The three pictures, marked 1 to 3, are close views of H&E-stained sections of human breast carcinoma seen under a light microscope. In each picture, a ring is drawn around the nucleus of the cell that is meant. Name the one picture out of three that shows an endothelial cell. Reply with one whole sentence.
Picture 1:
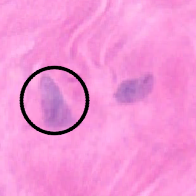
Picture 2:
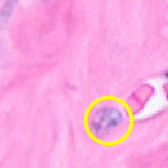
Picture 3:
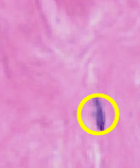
The picture with the endothelial cell is 2.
